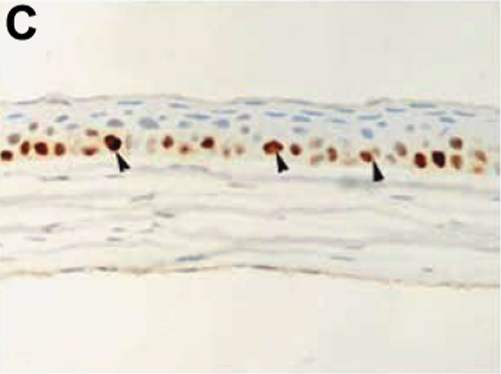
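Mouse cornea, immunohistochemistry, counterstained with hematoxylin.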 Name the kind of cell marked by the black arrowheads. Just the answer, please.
Base cells of epithelium.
